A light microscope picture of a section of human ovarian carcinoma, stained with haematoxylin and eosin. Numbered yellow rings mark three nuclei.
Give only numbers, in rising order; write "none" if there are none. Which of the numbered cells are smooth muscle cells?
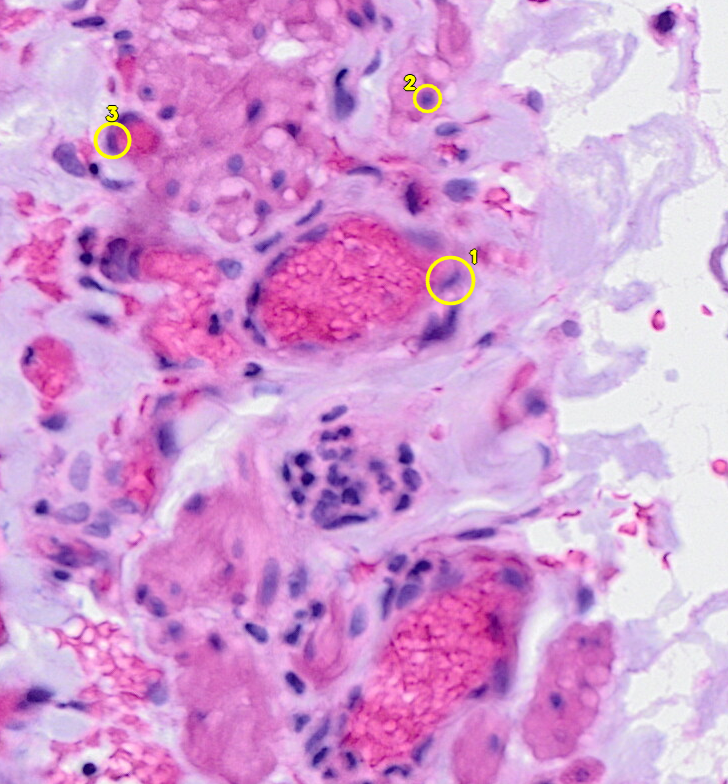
2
